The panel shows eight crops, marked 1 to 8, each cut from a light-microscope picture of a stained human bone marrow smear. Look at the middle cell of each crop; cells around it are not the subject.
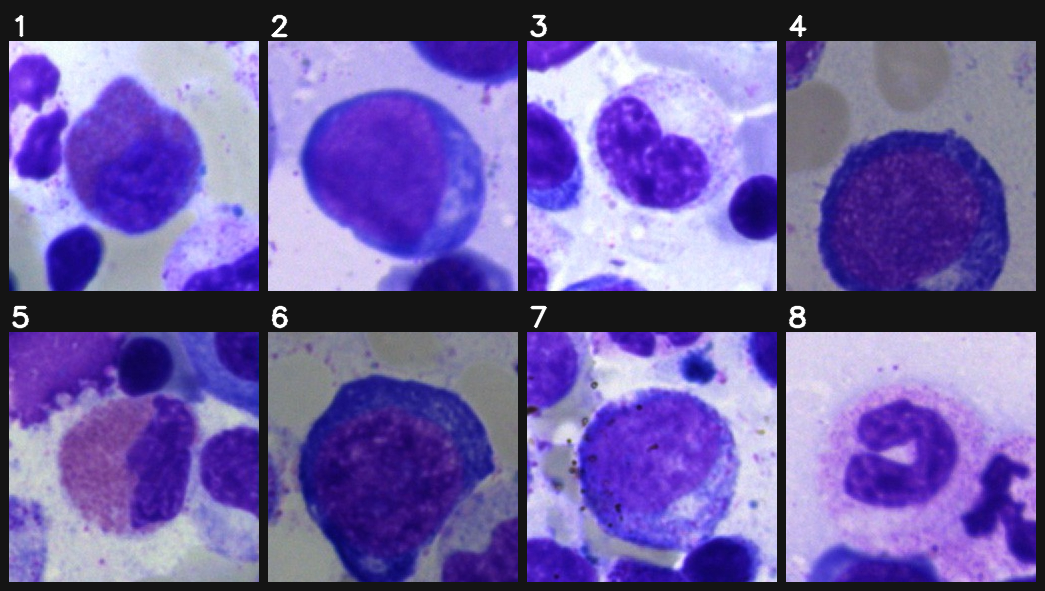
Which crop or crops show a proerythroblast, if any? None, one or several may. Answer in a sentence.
Classification of crops 2, 4 and 6: the central cells are proerythroblasts.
